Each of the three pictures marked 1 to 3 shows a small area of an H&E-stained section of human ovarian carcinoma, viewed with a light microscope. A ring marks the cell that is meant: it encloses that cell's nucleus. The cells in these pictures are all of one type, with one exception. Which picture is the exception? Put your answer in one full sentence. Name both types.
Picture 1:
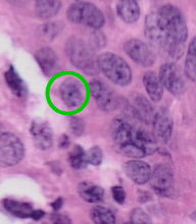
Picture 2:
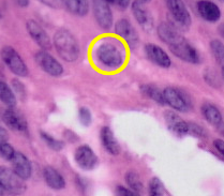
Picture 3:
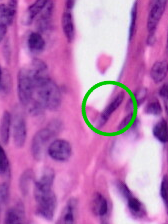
The different one is picture 3; it shows an endothelial cell, whereas all the others show “macrophages or monocytes”.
